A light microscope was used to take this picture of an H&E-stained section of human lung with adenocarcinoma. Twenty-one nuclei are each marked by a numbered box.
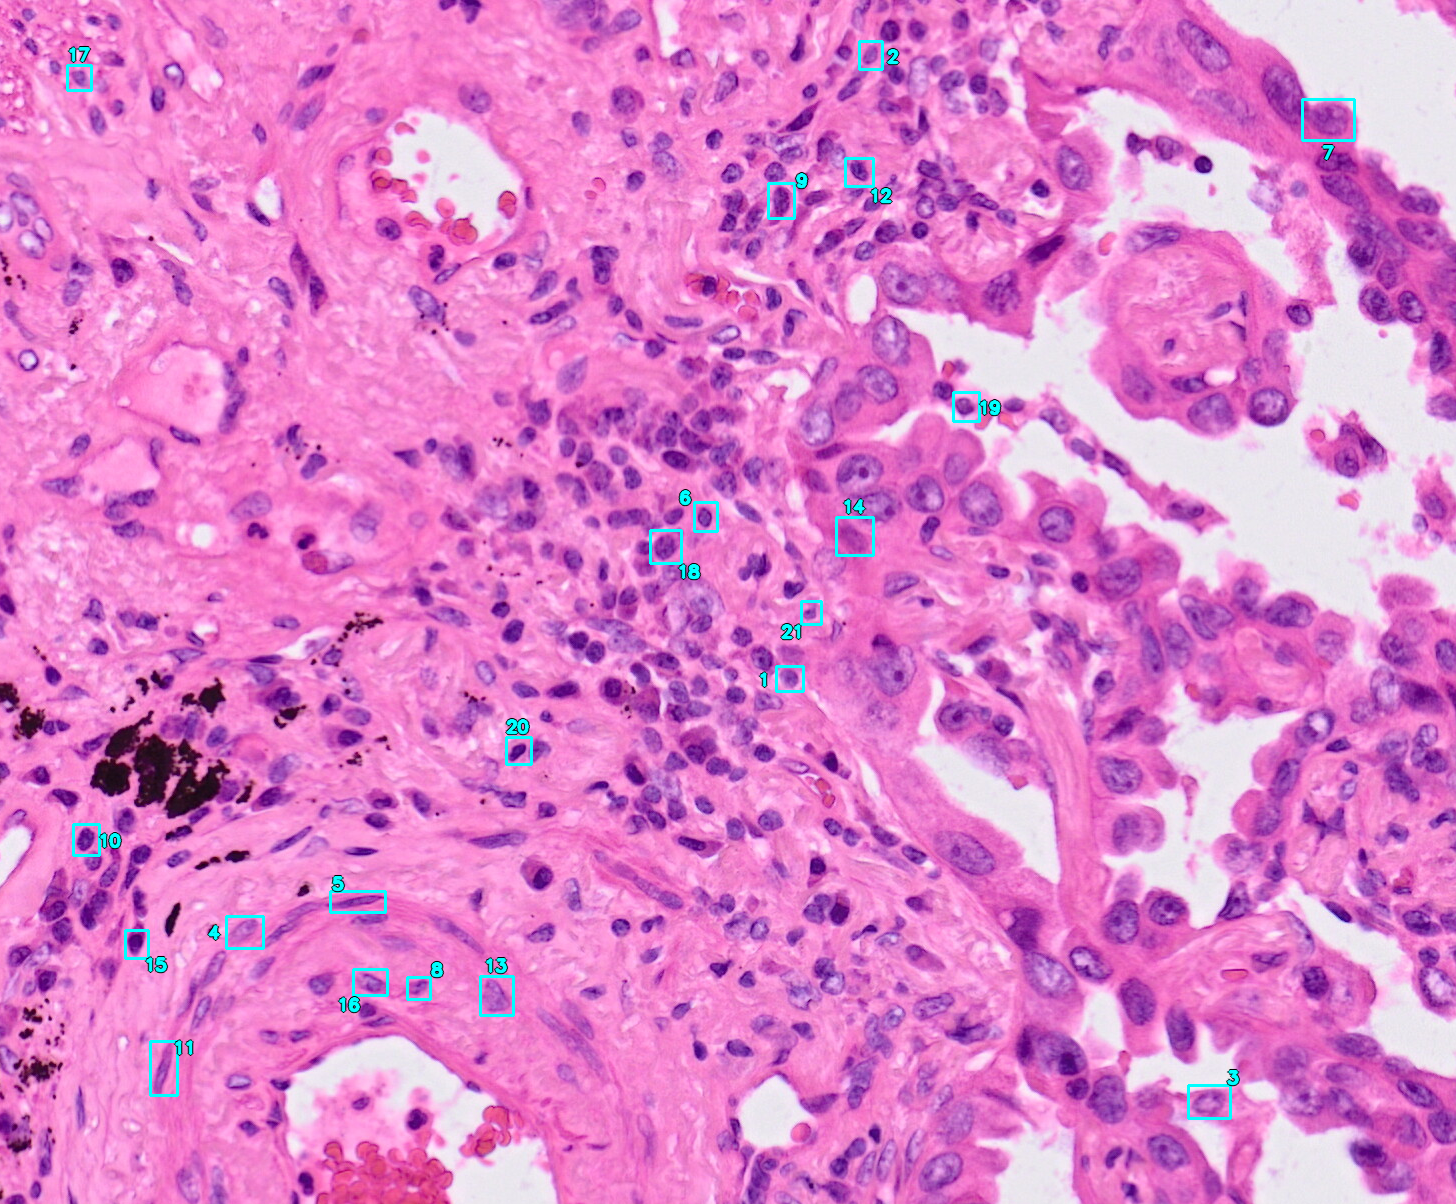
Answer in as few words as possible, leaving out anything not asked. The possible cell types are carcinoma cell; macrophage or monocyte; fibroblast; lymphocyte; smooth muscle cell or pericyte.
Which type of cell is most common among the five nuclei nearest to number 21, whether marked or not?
fibroblast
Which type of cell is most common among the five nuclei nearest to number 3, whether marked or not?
carcinoma cell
